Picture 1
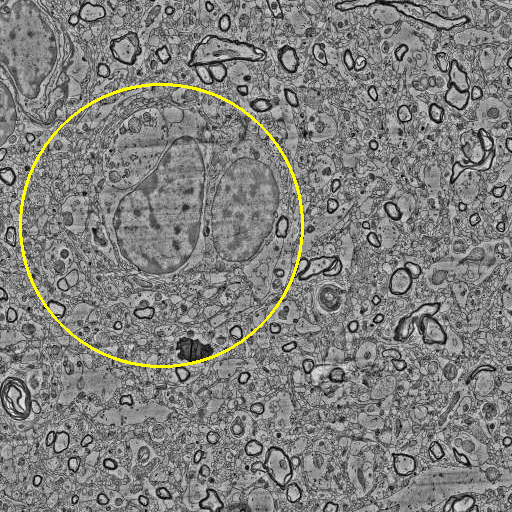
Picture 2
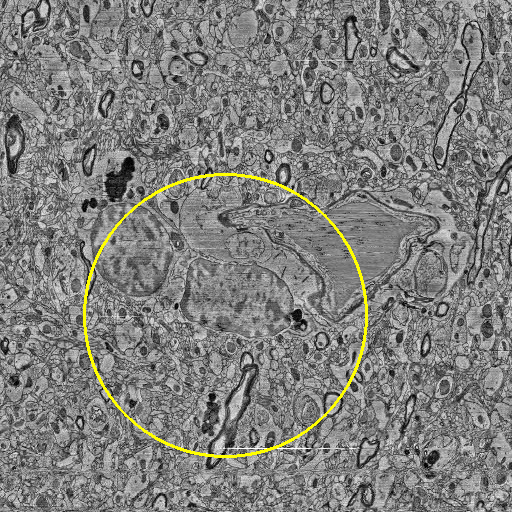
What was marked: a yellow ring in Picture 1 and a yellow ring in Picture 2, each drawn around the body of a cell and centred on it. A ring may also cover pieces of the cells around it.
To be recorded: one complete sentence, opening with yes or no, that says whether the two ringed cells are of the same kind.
Yes, the two ringed cells are of the same kind.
